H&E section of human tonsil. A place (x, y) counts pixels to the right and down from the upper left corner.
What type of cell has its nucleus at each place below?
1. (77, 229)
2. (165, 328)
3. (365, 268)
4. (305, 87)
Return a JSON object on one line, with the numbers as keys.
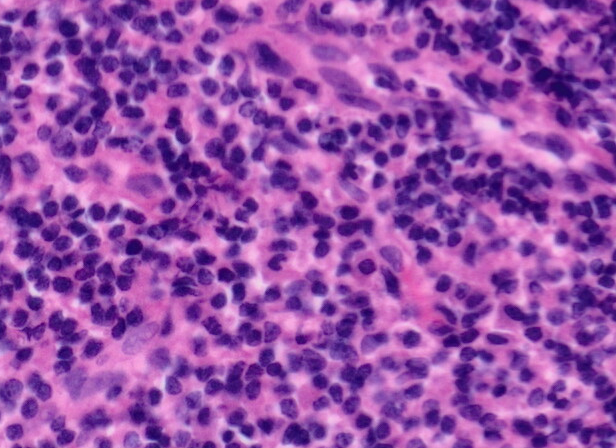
{"1": "small lymphocyte", "2": "endothelial cell", "3": "plasma cell", "4": "endothelial cell"}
